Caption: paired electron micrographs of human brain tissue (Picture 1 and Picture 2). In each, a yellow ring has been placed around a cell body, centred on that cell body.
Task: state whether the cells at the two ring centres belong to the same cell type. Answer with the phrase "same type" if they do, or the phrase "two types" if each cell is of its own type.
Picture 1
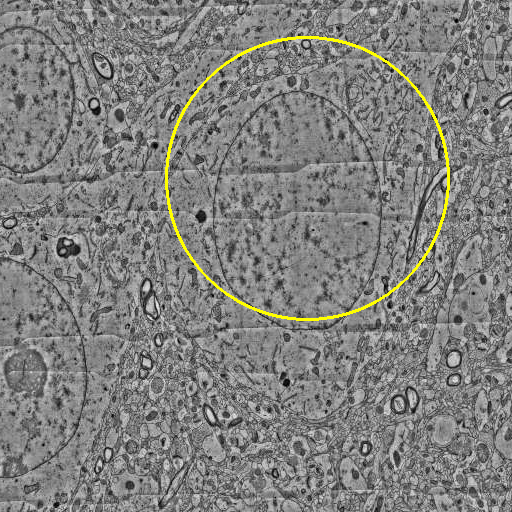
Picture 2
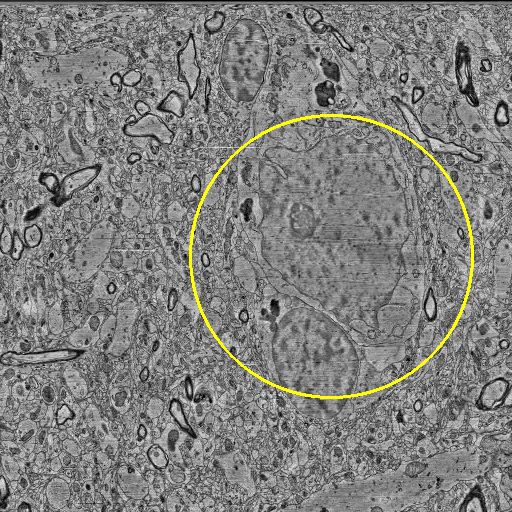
two types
